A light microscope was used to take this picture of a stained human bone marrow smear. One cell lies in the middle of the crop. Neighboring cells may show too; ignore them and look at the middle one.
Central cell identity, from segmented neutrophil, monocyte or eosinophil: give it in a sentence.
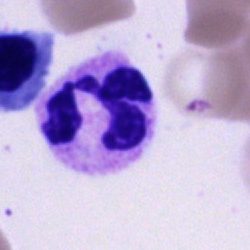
As for the cell in the middle, it is a segmented neutrophil.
